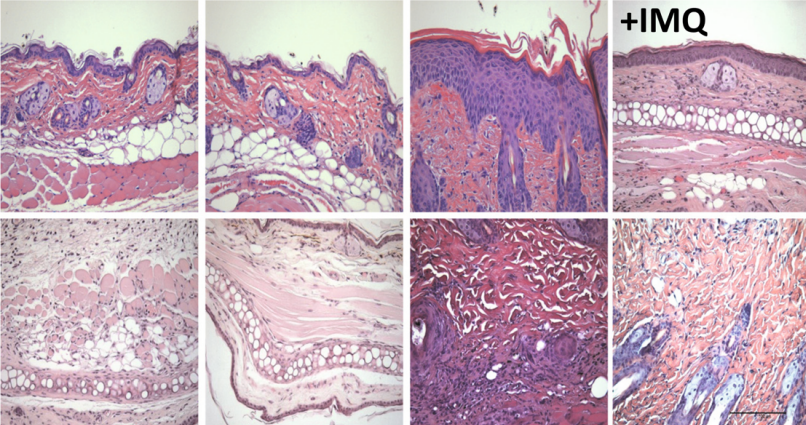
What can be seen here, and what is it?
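Eight fields of skin stained pink and purple. The upper row shows the surface. In one field the epidermis is far thicker, with many crowded purple nuclei. Its tongues reach down into the dermis, and a wavy pink cornified layer lies on top. The lower row shows deeper dermis: pink collagen, fat cells and follicles. One field is densely packed with purple nuclei between the collagen fibres. This fits a thickened epidermis, that is acanthosis, with a cell-rich dermis.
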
